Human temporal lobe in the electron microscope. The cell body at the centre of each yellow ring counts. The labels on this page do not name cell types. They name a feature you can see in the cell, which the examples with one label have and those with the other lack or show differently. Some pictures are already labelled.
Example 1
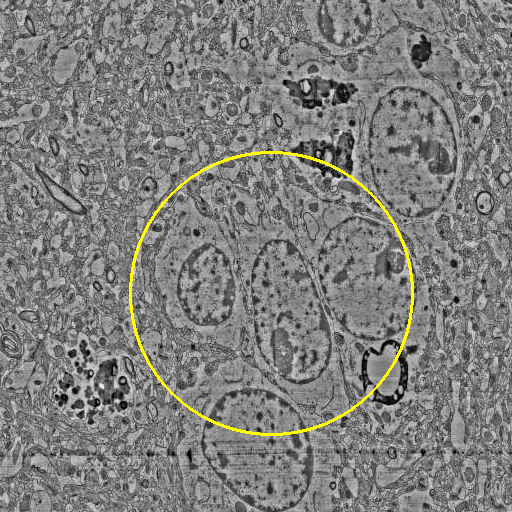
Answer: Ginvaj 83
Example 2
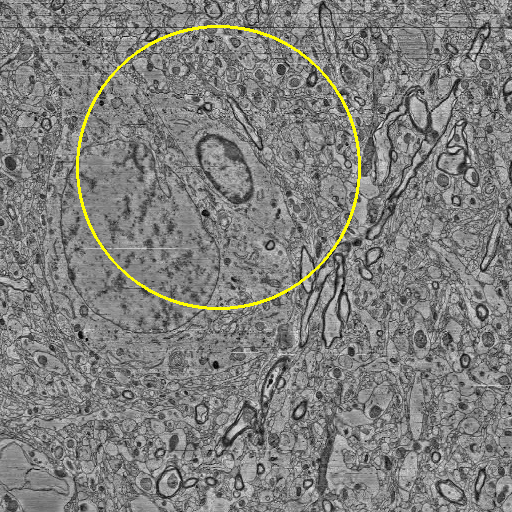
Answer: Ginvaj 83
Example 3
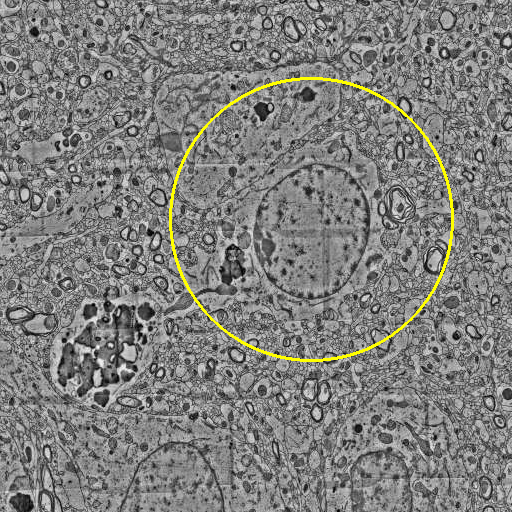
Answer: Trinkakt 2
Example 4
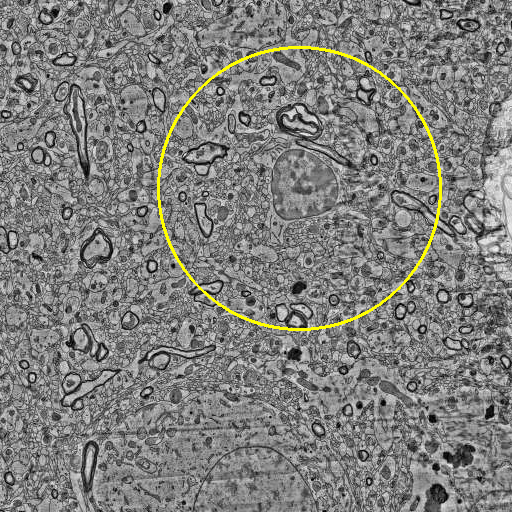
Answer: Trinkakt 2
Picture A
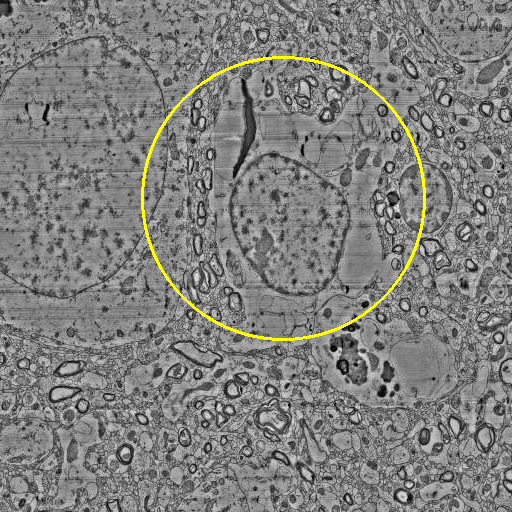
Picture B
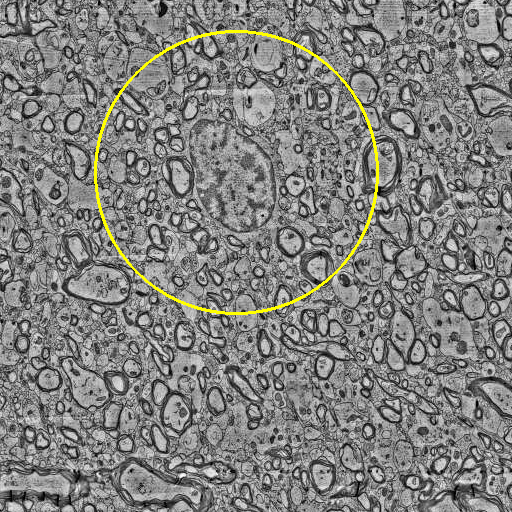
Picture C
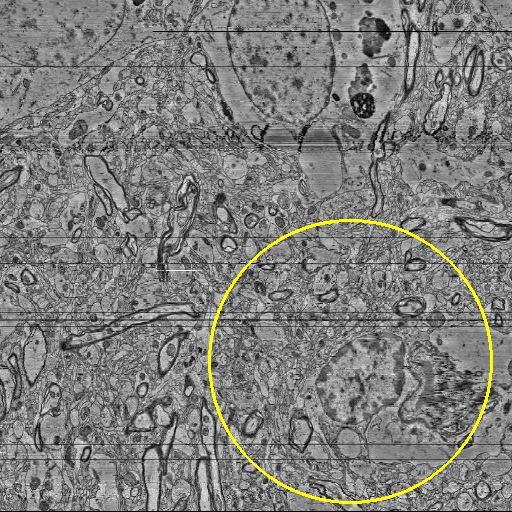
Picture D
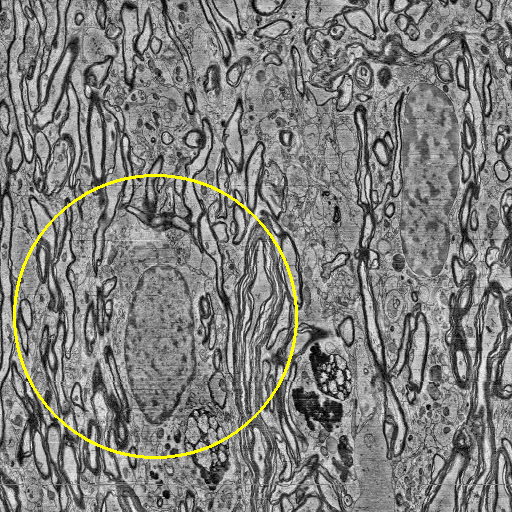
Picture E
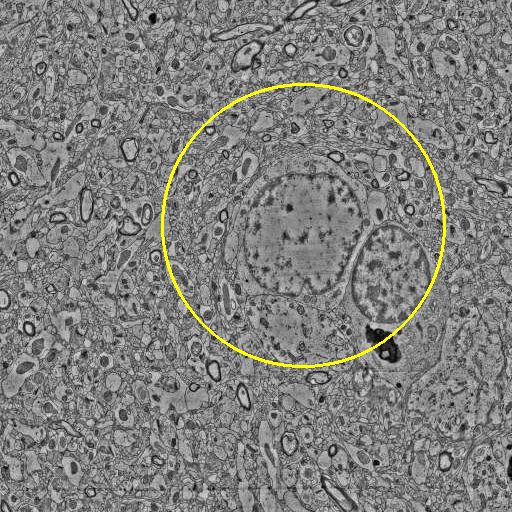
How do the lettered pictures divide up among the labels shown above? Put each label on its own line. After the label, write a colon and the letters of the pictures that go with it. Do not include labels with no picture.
Ginvaj 83: B, D
Trinkakt 2: A, C, E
